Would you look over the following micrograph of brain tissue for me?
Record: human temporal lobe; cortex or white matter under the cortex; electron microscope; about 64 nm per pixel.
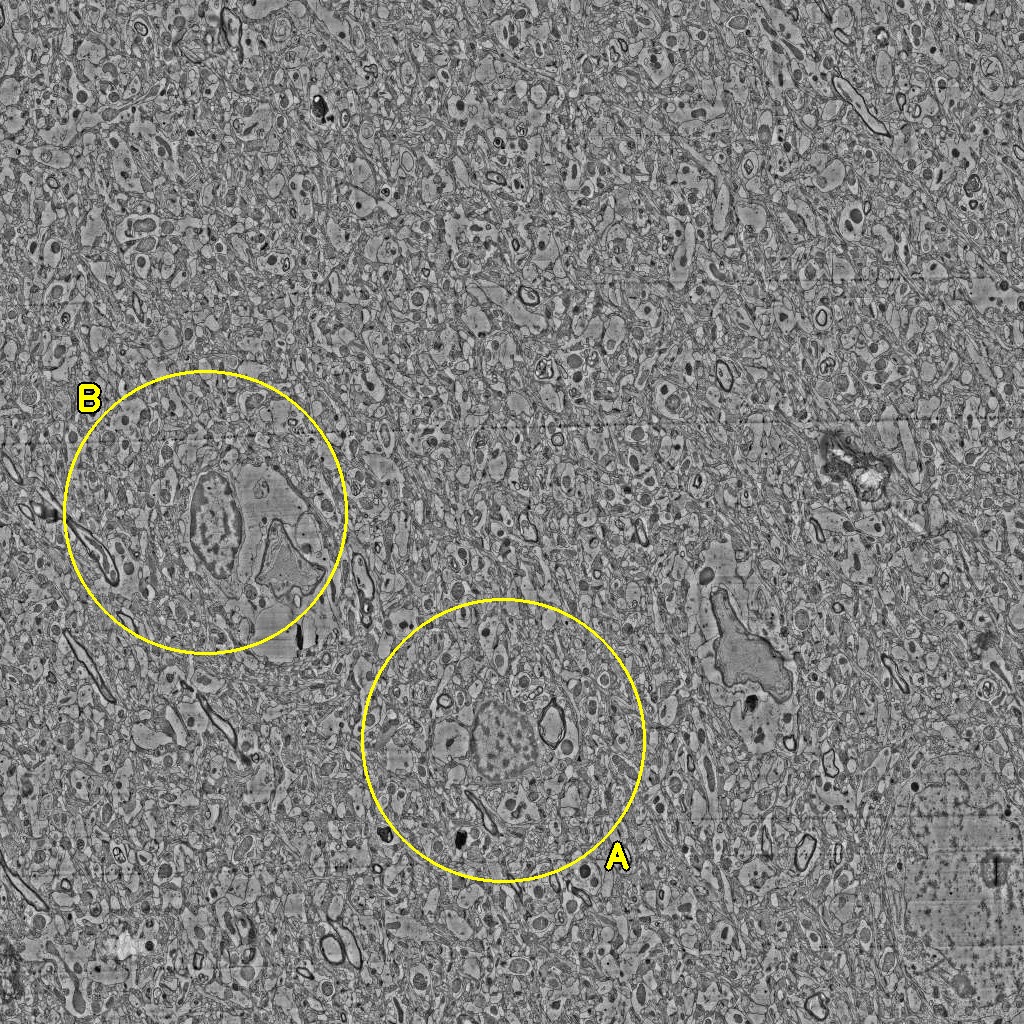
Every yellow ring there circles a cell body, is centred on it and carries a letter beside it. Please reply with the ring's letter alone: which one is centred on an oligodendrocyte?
A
